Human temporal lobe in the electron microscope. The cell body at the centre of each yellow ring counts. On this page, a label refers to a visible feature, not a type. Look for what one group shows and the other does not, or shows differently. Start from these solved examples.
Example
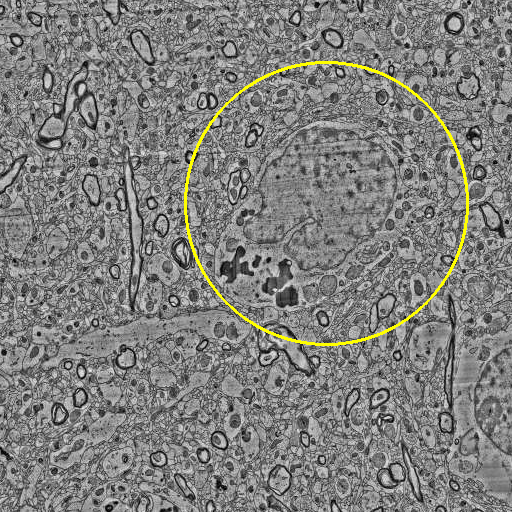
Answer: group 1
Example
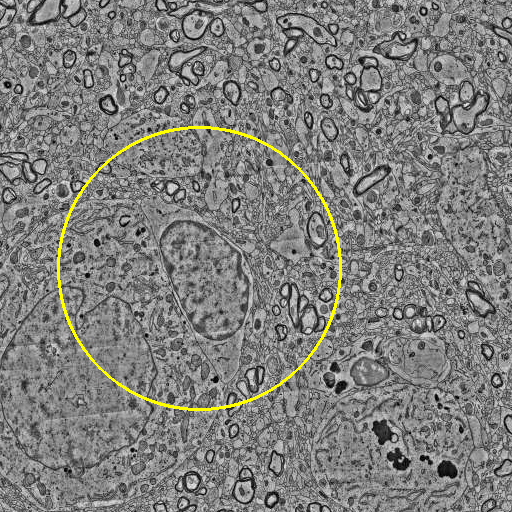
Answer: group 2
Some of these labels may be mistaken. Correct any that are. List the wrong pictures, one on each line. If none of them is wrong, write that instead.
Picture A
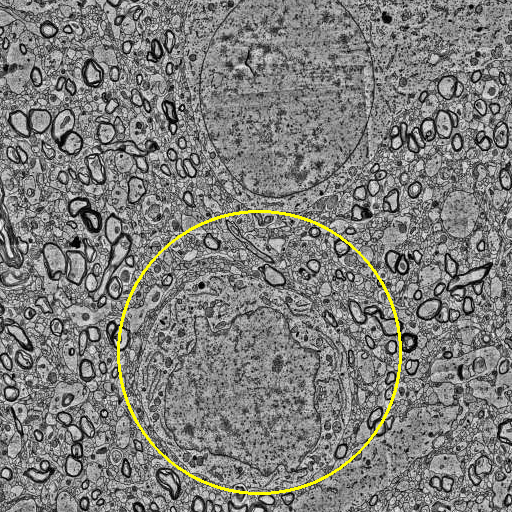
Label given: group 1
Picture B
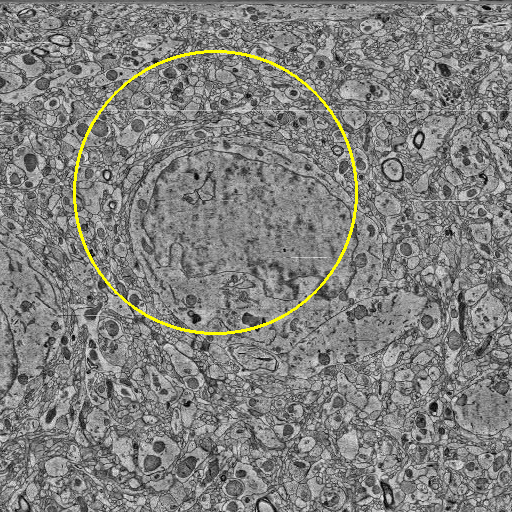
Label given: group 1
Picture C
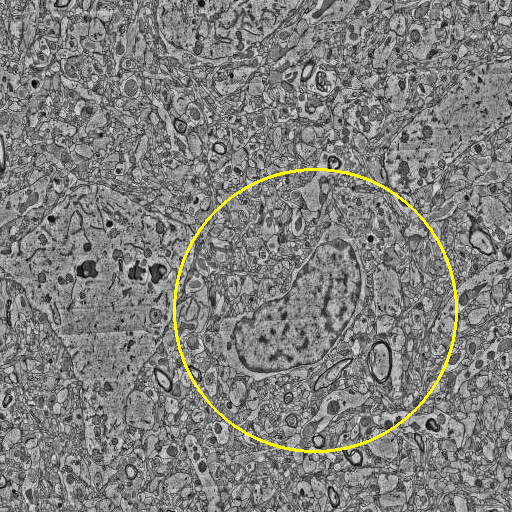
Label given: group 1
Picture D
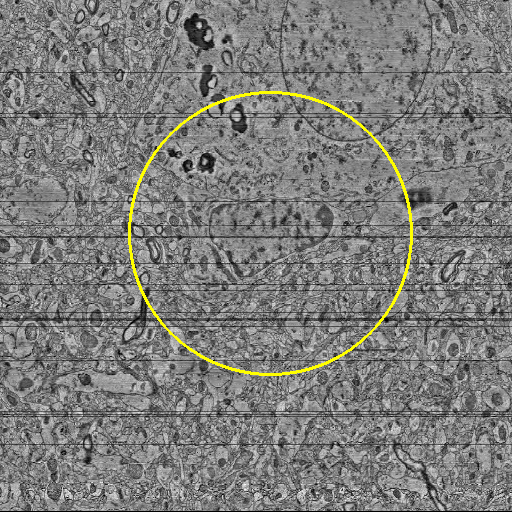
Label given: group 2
D is labelled group 2; correct label: group 1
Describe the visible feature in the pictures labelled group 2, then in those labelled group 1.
group 2: smooth nuclear envelopes without deep folds; group 1: deeply folded or indented nuclear envelopes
